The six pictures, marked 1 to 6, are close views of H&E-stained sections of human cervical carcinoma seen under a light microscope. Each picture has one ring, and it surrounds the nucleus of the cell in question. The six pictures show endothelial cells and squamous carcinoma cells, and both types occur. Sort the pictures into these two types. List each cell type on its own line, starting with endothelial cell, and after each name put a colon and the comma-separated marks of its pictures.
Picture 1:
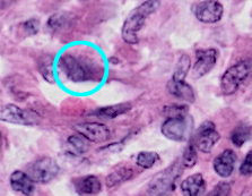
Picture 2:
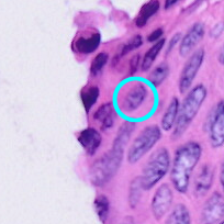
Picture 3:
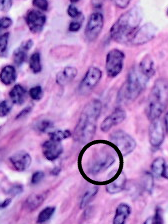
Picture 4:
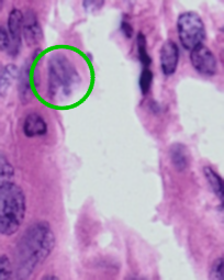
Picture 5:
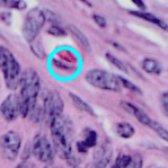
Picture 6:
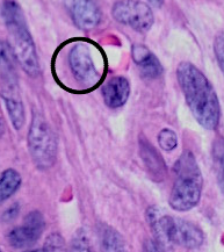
endothelial cell: 1, 3, 5, 6
squamous carcinoma cell: 2, 4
